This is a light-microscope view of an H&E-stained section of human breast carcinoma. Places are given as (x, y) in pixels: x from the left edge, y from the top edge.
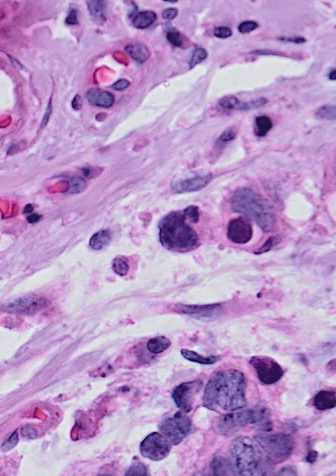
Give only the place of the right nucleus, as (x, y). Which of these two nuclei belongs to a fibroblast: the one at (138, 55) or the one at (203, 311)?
(203, 311)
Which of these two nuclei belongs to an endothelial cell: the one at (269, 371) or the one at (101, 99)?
(101, 99)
